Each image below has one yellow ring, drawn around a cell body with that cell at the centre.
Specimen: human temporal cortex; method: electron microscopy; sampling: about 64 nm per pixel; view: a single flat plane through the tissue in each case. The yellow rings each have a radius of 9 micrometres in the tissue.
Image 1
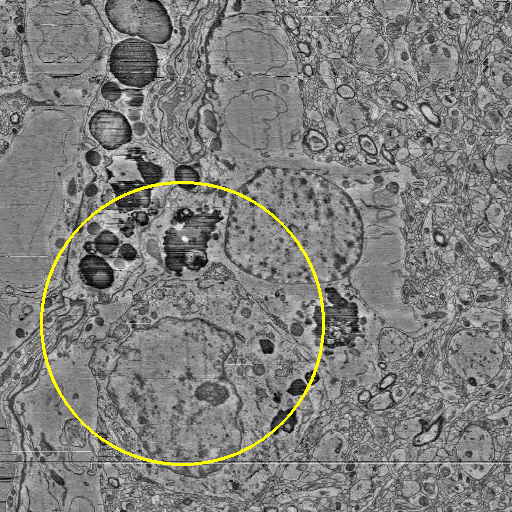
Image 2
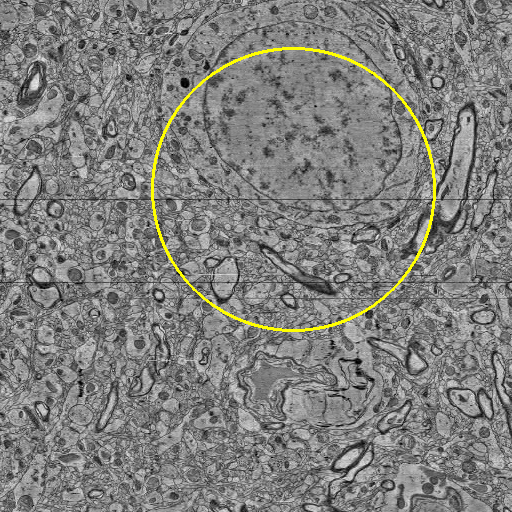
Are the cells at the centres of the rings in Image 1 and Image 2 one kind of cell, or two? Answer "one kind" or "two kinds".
one kind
